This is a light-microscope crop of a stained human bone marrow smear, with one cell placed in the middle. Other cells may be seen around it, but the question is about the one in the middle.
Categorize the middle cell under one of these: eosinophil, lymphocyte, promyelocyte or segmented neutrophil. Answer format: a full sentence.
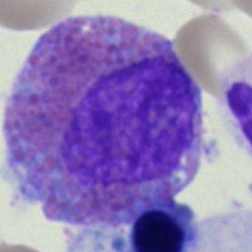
To answer, the cell in the center of the crop is an eosinophil.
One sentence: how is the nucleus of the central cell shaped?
A single compact nucleus is present, shaped round, oval or like a kidney.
